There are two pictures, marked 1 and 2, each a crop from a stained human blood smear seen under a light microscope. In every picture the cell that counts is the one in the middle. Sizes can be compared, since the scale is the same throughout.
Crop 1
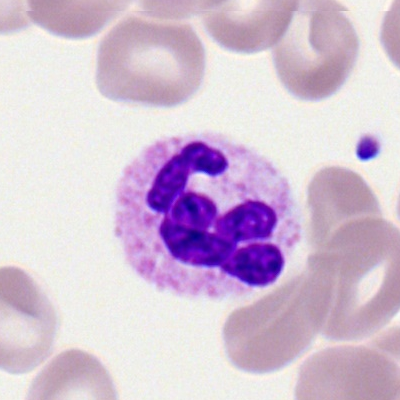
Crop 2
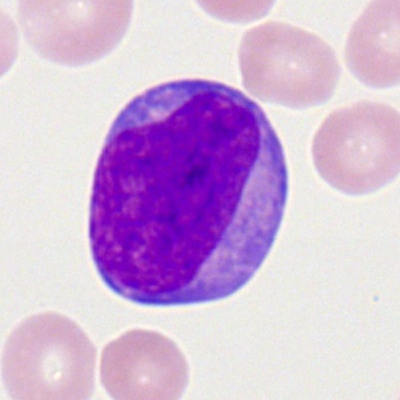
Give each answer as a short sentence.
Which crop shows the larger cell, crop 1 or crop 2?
Larger is the cell in crop 2, at roughly 1.5 times the area of the other.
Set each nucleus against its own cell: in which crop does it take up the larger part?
In crop 2 the nucleus takes up the larger part of its cell.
